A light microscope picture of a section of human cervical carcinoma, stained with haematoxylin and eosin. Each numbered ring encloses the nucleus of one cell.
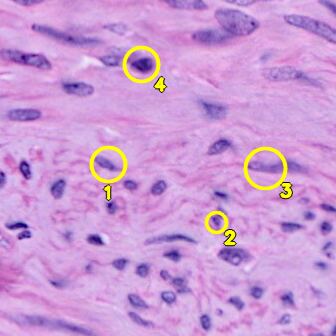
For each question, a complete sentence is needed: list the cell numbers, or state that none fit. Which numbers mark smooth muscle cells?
The cells which carry the numbers 1, 2 and 3 are smooth muscle cells.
